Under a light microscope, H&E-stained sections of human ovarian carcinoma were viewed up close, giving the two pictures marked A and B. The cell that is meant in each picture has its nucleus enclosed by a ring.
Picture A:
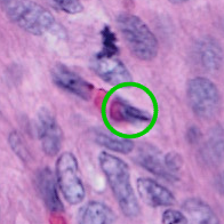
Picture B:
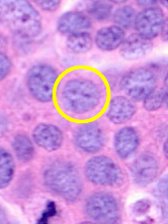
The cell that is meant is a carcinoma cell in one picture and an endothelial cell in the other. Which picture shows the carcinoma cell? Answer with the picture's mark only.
B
